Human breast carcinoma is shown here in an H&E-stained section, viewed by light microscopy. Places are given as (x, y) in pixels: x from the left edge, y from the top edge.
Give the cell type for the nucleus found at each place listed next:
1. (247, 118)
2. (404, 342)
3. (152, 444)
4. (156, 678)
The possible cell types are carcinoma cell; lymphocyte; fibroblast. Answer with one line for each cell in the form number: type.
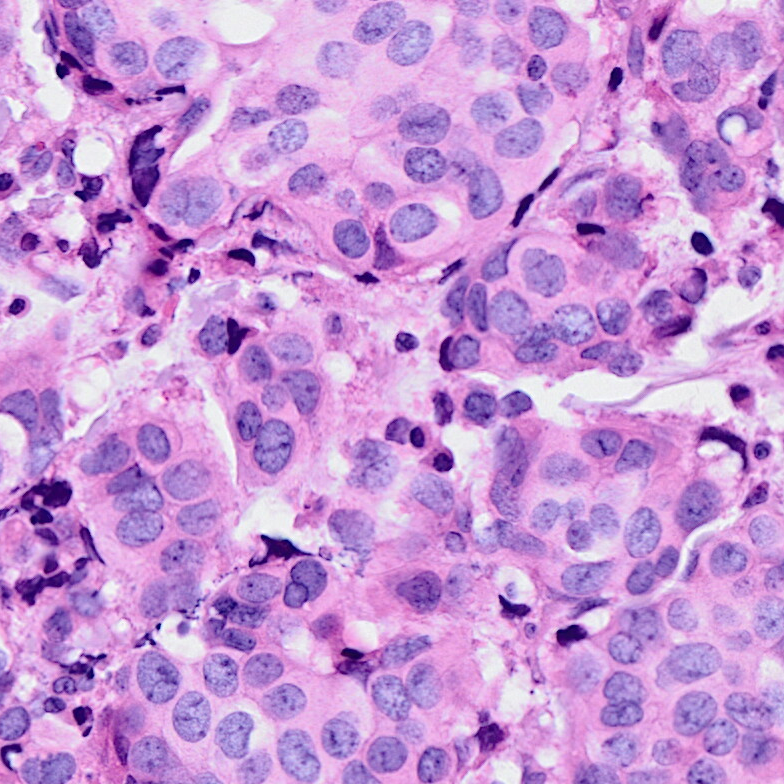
1: carcinoma cell
2: lymphocyte
3: carcinoma cell
4: carcinoma cell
